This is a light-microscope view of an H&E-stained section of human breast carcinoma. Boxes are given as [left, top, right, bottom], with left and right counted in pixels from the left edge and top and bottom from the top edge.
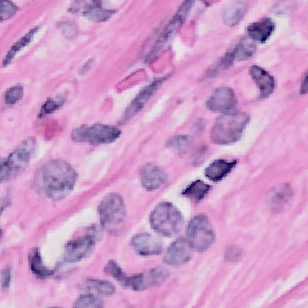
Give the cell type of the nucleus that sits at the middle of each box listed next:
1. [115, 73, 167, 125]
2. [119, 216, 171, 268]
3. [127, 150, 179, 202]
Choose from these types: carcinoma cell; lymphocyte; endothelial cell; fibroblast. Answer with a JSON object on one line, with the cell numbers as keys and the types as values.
{"1": "endothelial cell", "2": "carcinoma cell", "3": "carcinoma cell"}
